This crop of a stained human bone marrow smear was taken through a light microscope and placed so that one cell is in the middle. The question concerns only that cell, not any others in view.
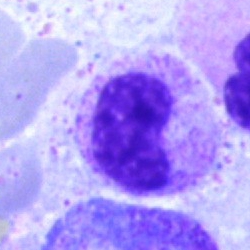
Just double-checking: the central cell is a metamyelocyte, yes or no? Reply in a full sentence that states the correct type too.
Yes, in the centre of this field sits a metamyelocyte.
